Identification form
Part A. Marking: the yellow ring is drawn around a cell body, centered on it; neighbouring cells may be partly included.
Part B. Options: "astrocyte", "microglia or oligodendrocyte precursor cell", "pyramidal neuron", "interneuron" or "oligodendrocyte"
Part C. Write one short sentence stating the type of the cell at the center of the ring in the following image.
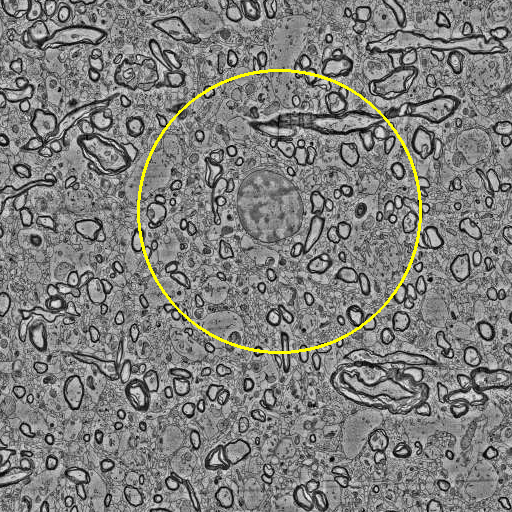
The center of the ring holds a microglial cell or oligodendrocyte precursor cell.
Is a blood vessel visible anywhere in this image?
No.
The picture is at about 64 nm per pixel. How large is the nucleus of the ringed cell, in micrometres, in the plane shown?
About 4 micrometers across, in this plane.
